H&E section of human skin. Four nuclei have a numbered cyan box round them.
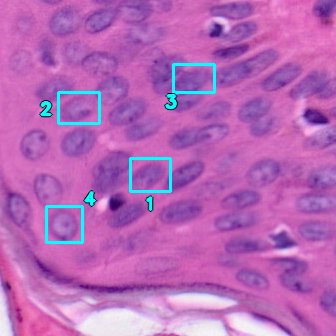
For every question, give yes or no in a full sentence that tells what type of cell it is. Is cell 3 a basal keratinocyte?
Yes, number 3 in this section denotes a basal keratinocyte.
